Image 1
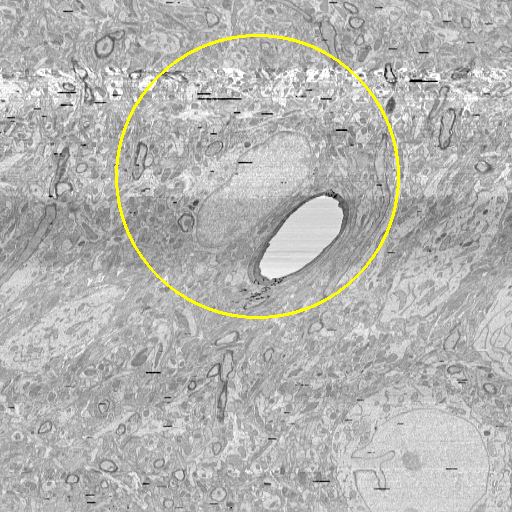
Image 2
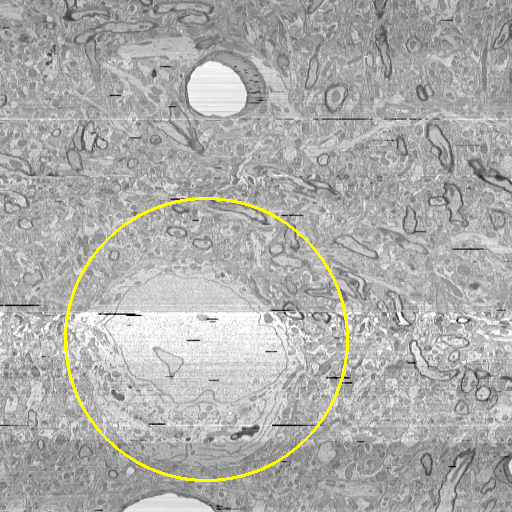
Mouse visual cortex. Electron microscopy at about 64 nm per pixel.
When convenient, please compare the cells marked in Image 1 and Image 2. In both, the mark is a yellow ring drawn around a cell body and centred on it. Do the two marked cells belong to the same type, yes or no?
no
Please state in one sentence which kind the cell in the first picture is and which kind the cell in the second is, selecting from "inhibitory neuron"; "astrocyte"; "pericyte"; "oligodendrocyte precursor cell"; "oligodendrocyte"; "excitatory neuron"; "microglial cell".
The first ringed cell is an astrocyte, the second ringed cell an excitatory neuron.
